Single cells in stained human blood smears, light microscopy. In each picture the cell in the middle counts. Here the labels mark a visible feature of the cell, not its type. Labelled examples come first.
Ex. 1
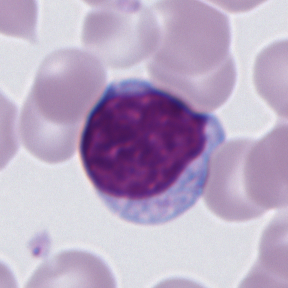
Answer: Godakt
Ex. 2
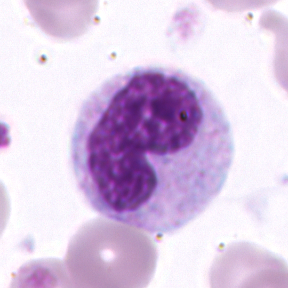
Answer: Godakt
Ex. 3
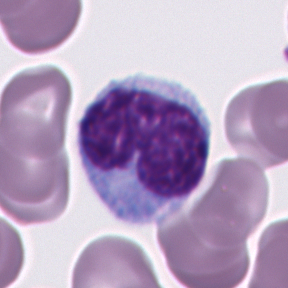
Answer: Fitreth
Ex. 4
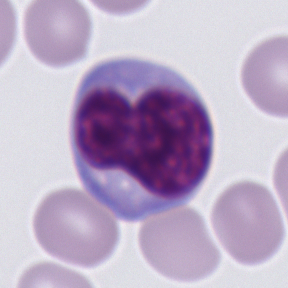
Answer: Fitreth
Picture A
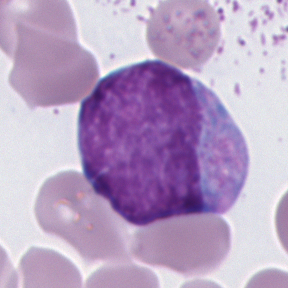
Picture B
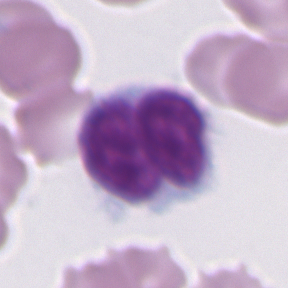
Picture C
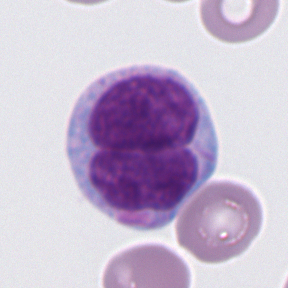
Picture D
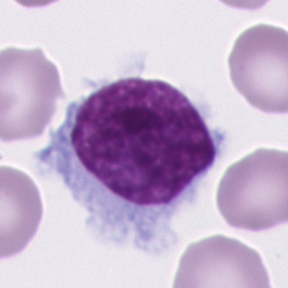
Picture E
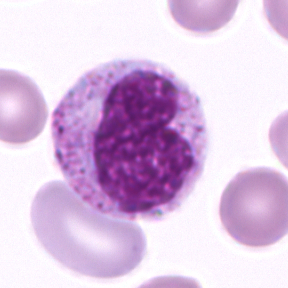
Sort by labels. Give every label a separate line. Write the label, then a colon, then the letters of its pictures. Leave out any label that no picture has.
Godakt: A, D, E
Fitreth: B, C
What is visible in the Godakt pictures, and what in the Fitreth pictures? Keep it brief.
Godakt: single compact nucleus; Fitreth: lobed nucleus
